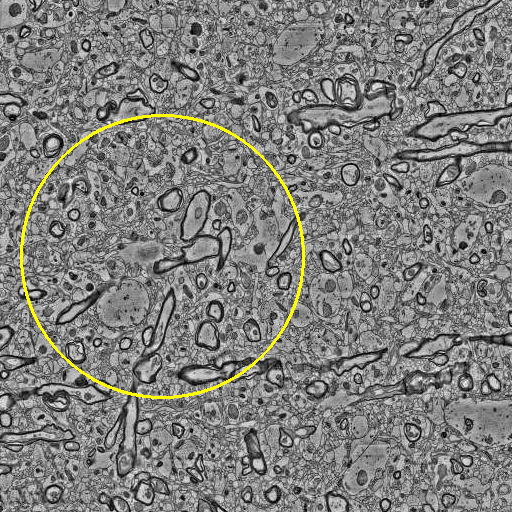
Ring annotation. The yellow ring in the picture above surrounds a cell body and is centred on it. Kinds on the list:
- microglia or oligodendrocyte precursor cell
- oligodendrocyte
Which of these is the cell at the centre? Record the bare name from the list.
oligodendrocyte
